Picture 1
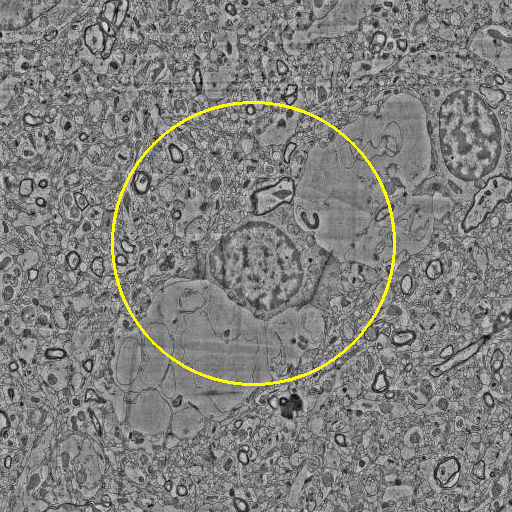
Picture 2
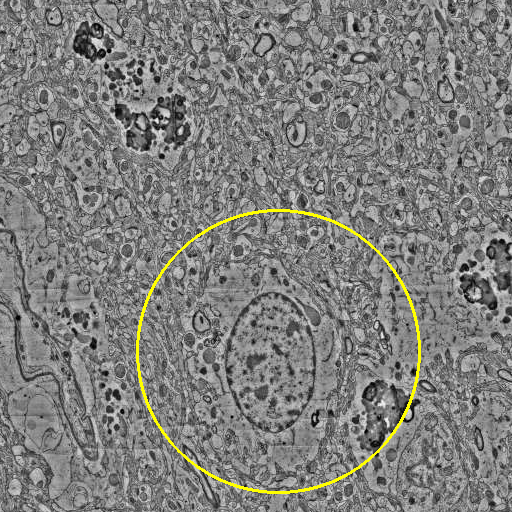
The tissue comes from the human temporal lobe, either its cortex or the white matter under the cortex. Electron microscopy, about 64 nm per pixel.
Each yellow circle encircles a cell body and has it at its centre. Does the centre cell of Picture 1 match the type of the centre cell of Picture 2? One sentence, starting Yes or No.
No, the cell centred in Picture 1 and the one in Picture 2 have separate types.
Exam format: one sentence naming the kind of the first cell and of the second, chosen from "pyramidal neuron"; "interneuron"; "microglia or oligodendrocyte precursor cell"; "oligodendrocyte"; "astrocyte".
The first picture's cell is an oligodendrocyte, and the second picture's cell is an astrocyte.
